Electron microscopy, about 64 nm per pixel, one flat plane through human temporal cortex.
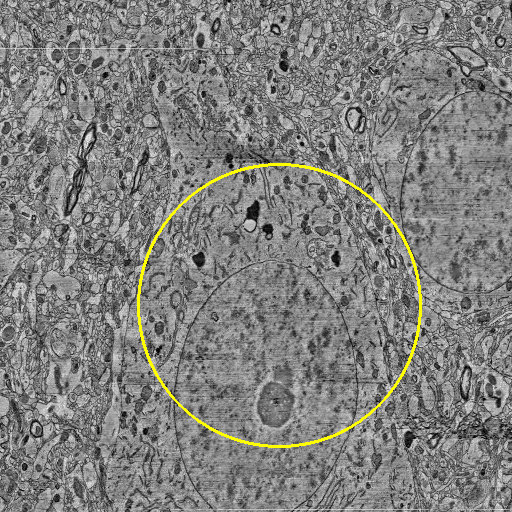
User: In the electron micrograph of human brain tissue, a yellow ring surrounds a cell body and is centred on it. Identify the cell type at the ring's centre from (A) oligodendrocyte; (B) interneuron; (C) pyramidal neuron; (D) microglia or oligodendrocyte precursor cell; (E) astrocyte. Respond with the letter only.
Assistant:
C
